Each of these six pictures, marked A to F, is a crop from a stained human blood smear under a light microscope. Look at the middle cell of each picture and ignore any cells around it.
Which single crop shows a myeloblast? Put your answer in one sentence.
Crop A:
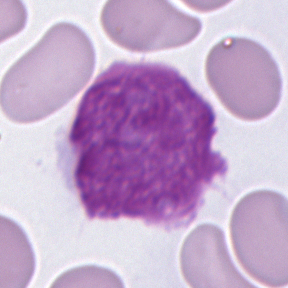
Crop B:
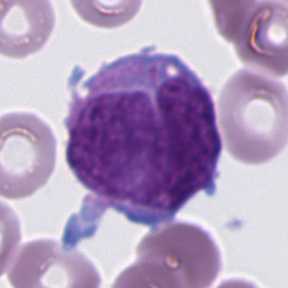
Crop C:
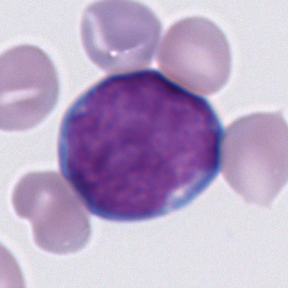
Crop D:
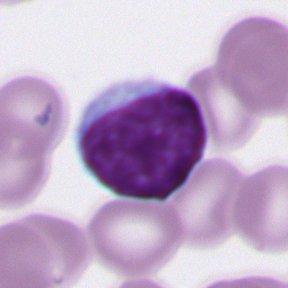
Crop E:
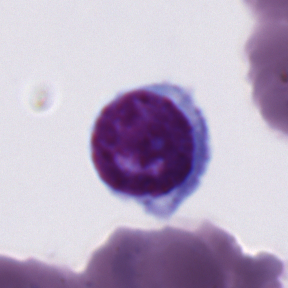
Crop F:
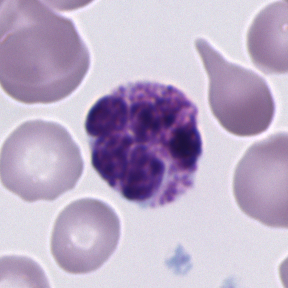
Crop C, and no other, shows a myeloblast.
